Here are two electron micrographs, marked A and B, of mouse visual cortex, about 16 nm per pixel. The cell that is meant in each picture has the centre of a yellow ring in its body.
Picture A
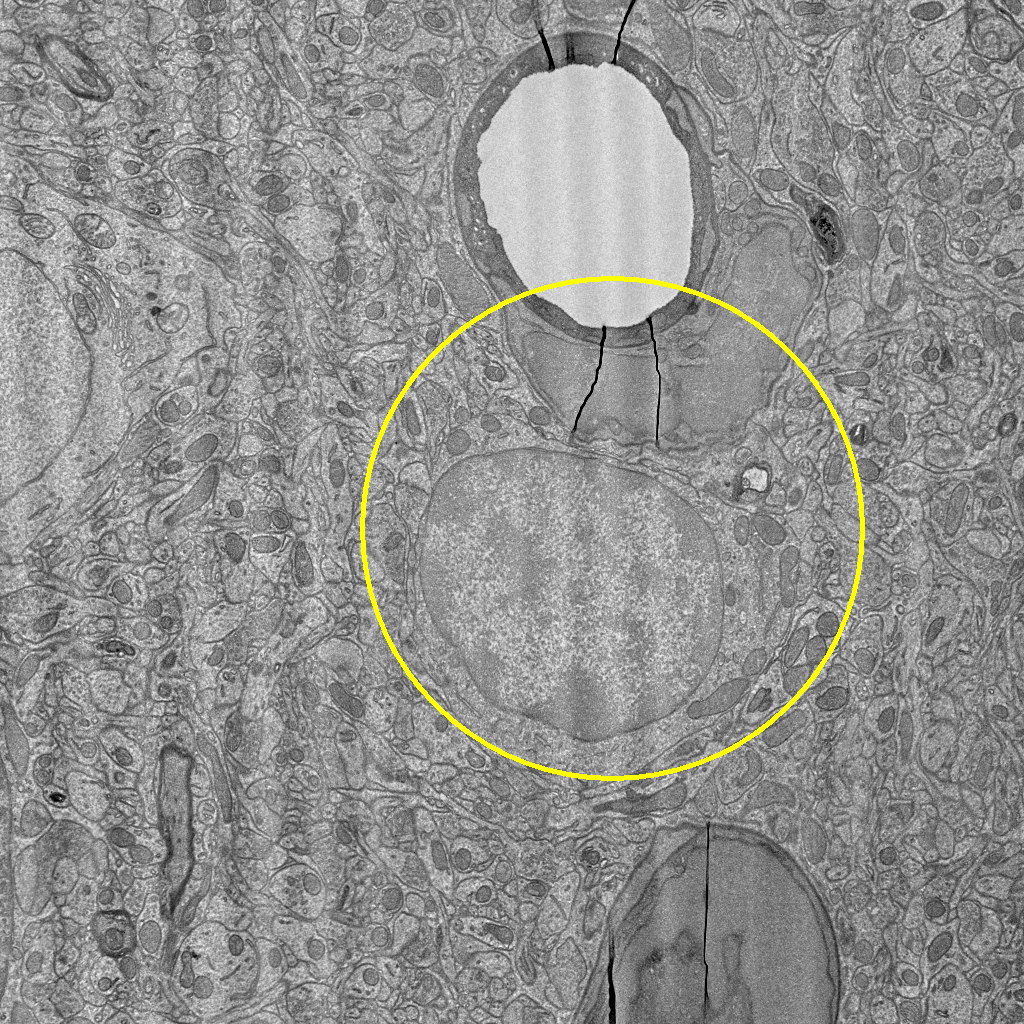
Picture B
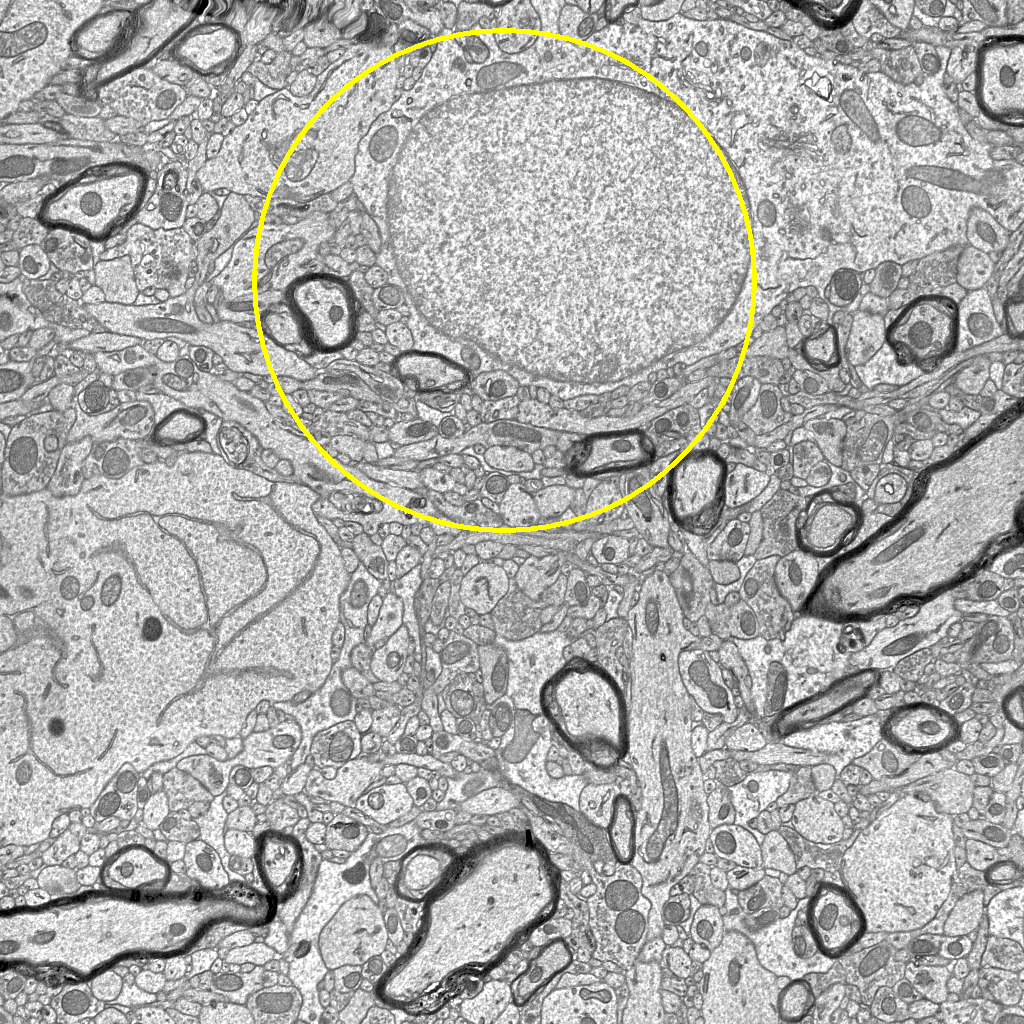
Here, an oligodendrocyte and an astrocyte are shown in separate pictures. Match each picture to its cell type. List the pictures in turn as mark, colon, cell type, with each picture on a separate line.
A: oligodendrocyte
B: astrocyte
